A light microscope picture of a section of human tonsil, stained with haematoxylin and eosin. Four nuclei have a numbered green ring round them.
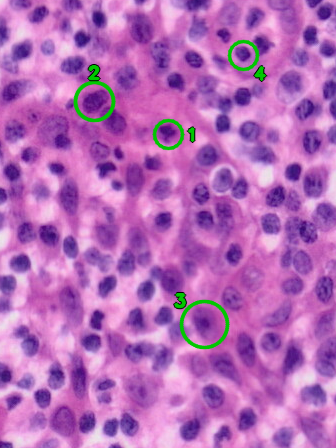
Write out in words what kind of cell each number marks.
Cell 1 is a squamous epithelial cell, cell 2 is a squamous epithelial cell, cell 3 is a squamous epithelial cell and cell 4 is an endothelial cell.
